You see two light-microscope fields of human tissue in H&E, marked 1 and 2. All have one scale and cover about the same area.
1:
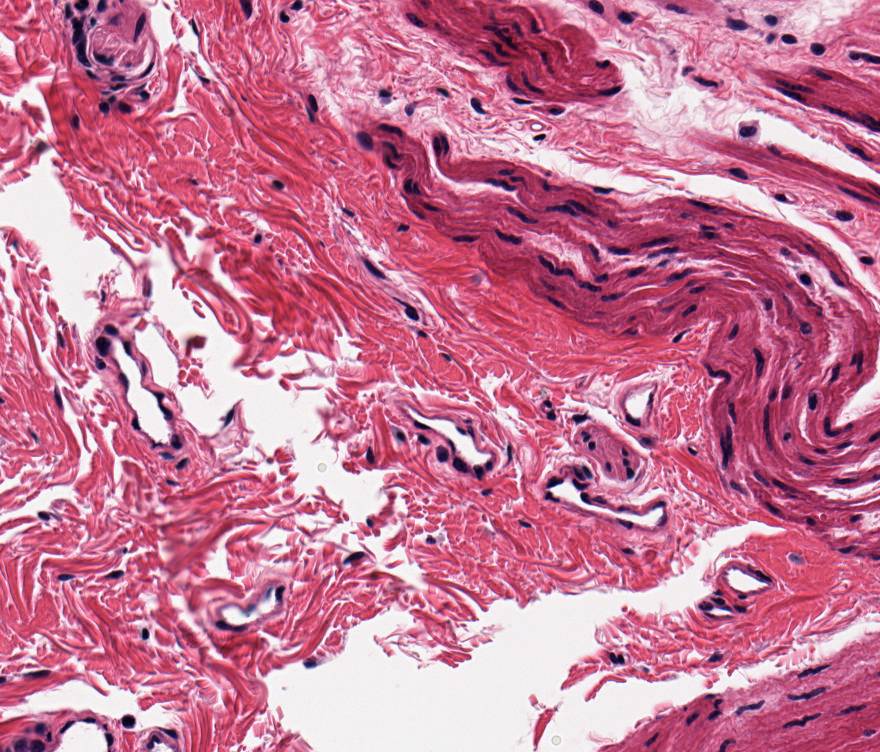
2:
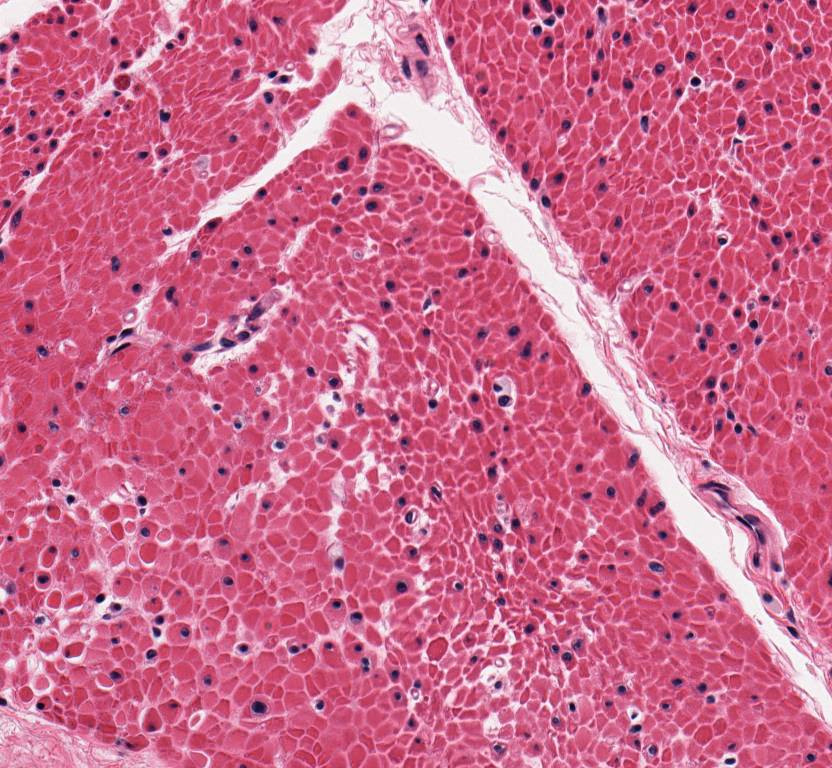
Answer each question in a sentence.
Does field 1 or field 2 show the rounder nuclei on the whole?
The nuclei are rounder in field 2.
